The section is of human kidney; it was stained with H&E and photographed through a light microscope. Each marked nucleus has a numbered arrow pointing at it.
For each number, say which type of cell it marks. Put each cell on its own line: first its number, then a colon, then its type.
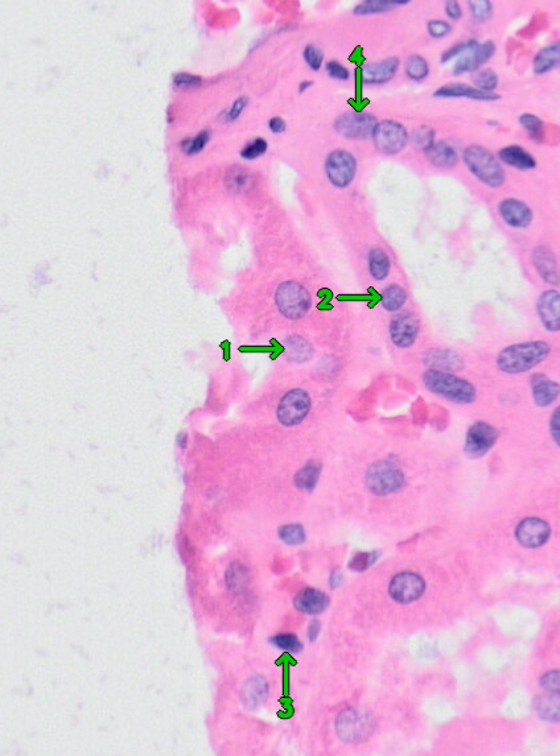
1: proximal tubule cell
2: collecting duct cell
3: endothelial cell
4: collecting duct cell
